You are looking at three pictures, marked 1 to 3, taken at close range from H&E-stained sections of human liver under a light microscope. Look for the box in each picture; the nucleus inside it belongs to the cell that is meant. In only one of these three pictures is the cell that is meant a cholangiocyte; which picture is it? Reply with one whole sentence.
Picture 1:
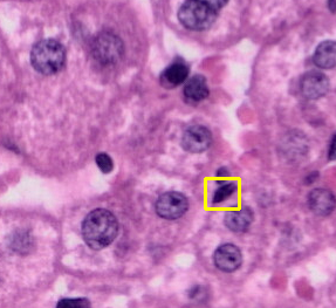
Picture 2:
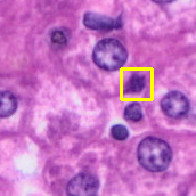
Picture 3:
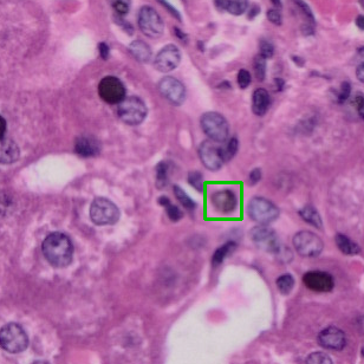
The cell in picture 3 is the cholangiocyte.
